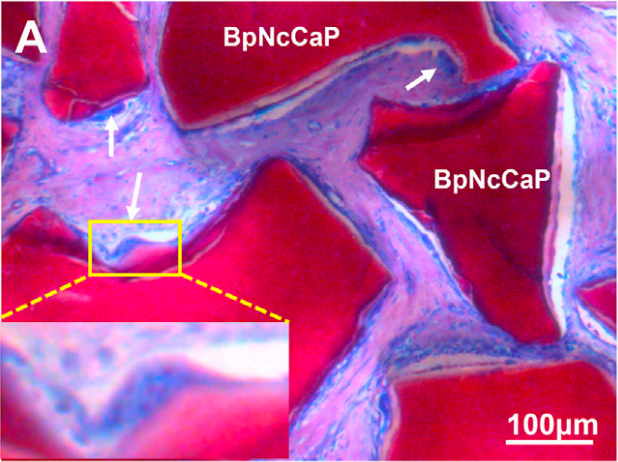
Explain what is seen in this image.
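Large red-stained particles of implanted material are separated by purplish fibrous connective tissue with scattered spindle-shaped cells. Along the surfaces of the particles lie flattened large cells with several nuclei, foreign body giant cells, closely applied to the material, as seen in the enlarged inset.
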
